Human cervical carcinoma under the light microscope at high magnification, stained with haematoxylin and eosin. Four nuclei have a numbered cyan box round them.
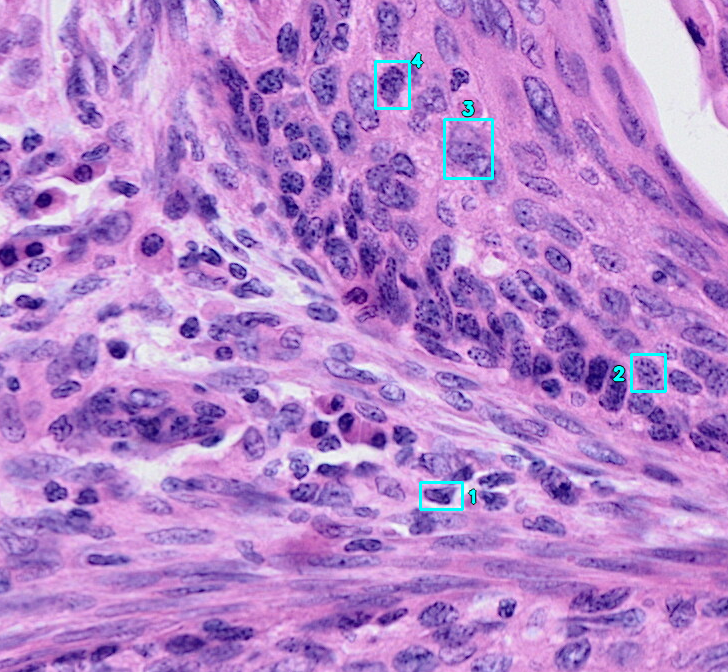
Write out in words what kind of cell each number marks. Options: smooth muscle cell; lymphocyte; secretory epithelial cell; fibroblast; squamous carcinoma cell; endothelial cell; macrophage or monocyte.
Cell 1 is a lymphocyte, cell 2 is a squamous carcinoma cell, cell 3 is a squamous carcinoma cell and cell 4 is a squamous carcinoma cell.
